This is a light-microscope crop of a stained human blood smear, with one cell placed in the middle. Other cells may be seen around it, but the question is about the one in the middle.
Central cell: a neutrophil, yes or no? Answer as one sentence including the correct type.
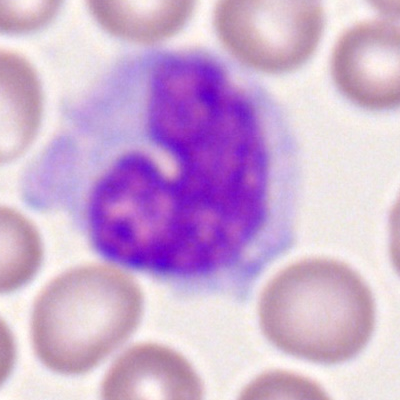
No, this one is a monocyte; it is not a neutrophil.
